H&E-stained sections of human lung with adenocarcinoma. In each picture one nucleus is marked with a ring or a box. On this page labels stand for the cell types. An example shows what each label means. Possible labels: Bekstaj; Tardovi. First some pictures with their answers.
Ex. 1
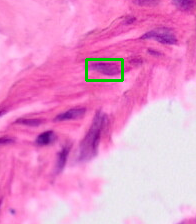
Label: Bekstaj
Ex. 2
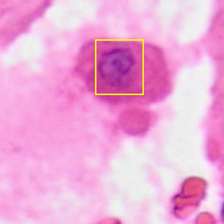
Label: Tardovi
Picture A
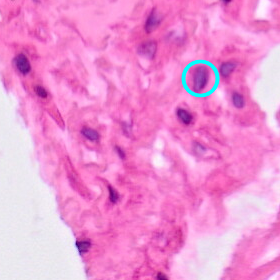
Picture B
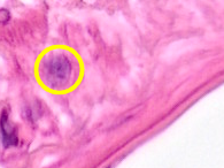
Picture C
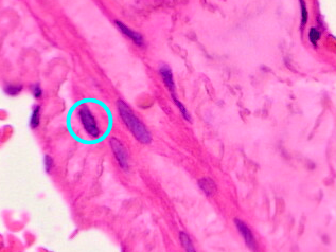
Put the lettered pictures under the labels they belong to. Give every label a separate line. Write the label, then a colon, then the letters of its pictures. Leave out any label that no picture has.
Bekstaj: A, B, C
